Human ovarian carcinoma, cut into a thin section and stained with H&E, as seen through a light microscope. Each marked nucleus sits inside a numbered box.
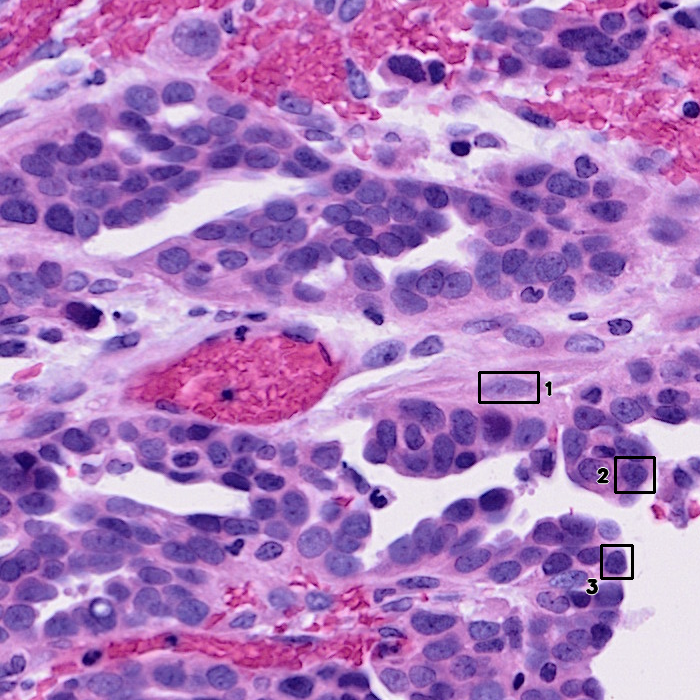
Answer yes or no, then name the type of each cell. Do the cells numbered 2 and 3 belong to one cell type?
Yes, cells 2 and 3 both count as carcinoma cells.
